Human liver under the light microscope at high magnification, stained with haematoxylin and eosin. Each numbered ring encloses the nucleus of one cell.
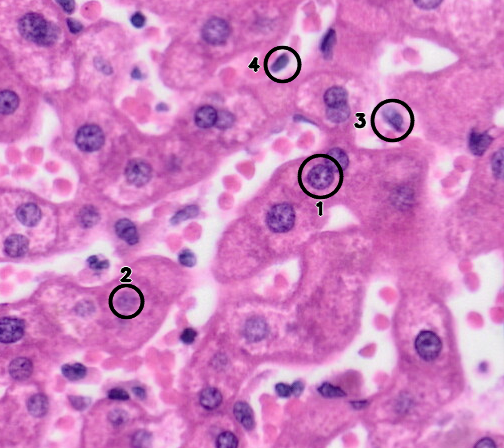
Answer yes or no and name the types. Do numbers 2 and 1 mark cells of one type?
Yes, both are hepatocytes.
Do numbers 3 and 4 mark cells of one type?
No, cell 3 is a Kupffer cell and cell 4 is a lymphocyte.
